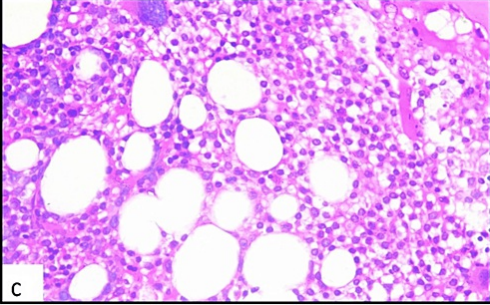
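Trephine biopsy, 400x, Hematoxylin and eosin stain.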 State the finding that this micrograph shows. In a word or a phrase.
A: Fried egg appearance.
